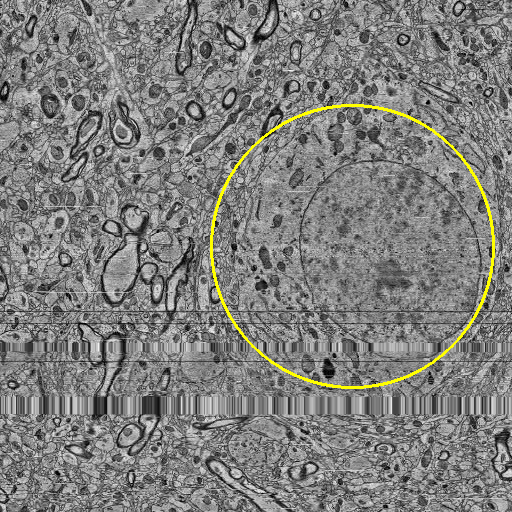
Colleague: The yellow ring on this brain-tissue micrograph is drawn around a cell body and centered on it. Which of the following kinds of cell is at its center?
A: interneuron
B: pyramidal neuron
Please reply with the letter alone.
A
